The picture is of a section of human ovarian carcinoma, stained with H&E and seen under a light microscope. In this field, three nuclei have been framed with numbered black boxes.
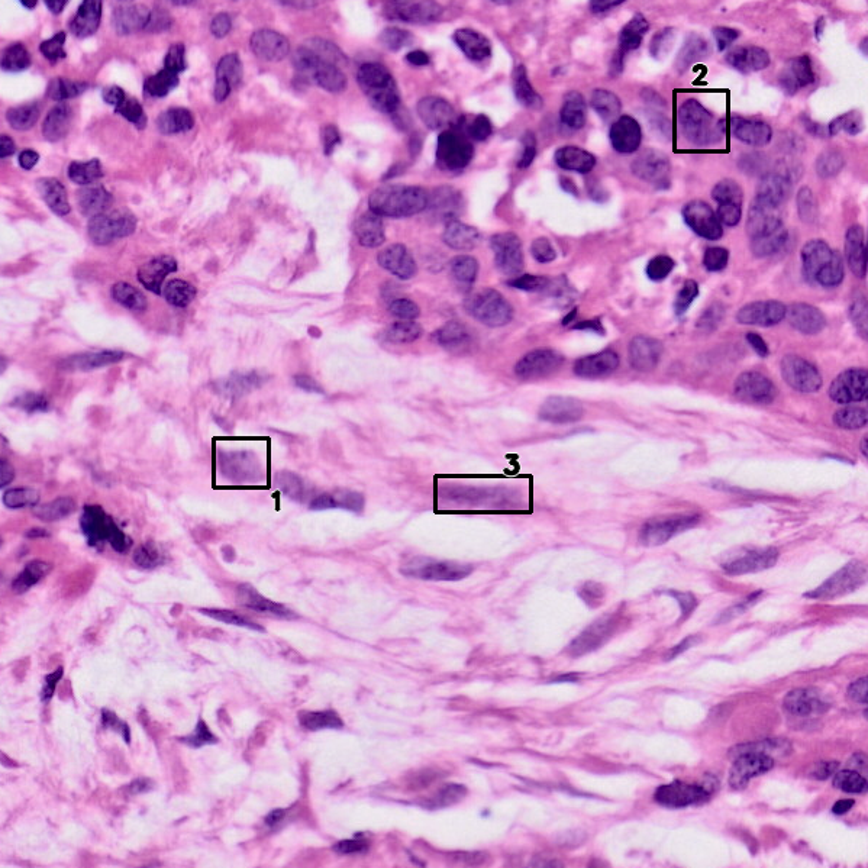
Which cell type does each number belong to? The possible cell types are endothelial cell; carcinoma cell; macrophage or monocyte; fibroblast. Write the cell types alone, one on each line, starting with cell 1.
fibroblast
carcinoma cell
fibroblast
